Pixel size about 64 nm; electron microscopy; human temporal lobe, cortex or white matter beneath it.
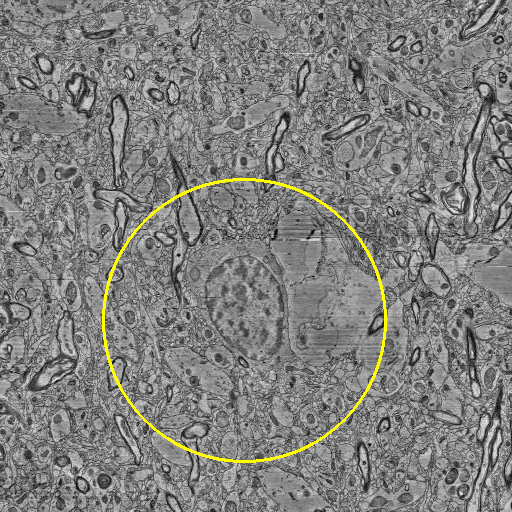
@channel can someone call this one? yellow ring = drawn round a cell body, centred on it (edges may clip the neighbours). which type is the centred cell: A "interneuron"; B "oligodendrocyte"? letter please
B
